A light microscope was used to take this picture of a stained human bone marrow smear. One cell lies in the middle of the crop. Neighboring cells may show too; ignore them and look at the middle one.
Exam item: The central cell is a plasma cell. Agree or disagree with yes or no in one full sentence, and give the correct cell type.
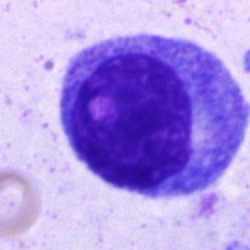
No, the cell positioned in the middle is a promyelocyte, not a plasma cell.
